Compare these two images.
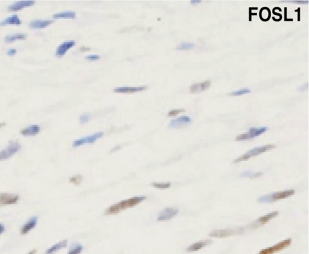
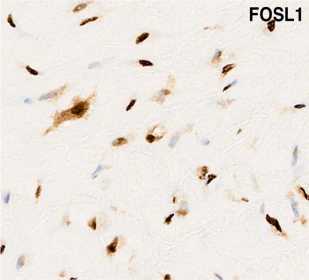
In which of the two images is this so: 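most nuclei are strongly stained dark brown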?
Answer: The second image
